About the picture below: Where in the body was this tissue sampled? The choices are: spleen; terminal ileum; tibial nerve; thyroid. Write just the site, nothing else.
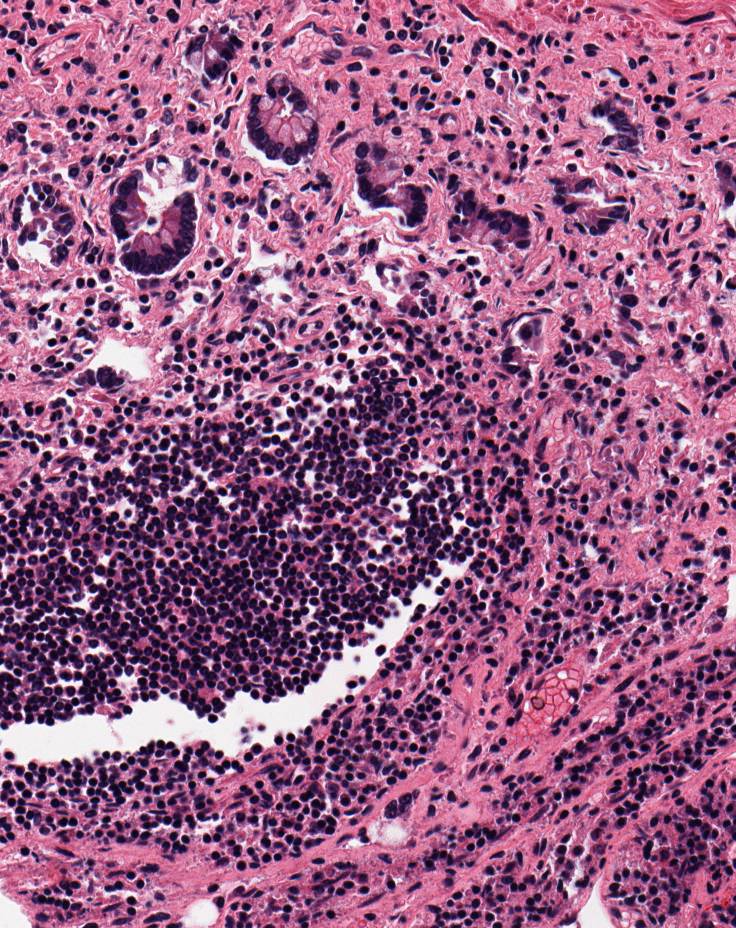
terminal ileum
